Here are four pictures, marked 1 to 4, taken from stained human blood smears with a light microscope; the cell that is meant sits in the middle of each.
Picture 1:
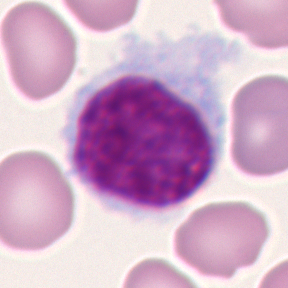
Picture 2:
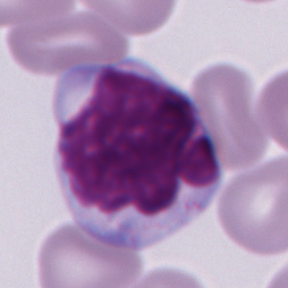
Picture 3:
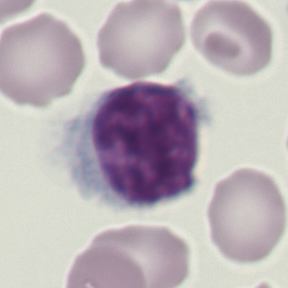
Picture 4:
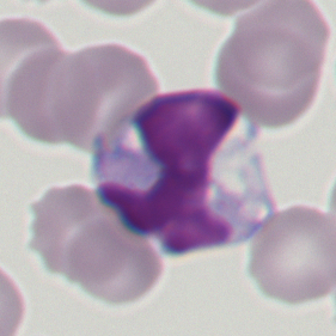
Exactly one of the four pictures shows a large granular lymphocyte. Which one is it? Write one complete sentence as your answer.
The cell in picture 2 is the large granular lymphocyte.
